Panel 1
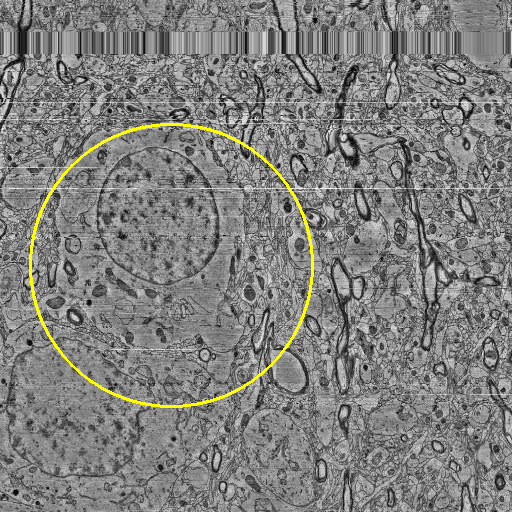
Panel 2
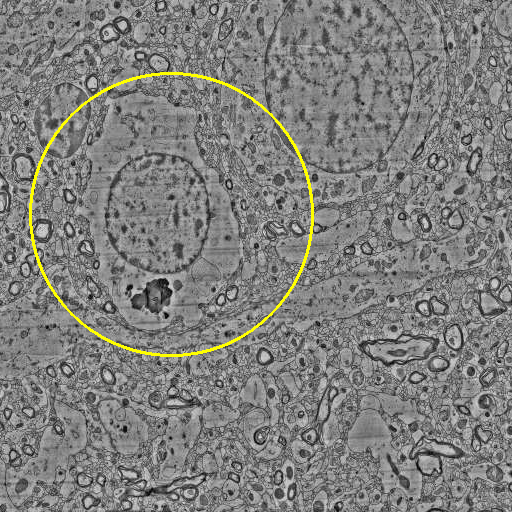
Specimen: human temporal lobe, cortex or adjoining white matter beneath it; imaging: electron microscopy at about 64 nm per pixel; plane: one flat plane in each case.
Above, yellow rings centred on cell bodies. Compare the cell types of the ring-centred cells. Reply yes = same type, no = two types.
yes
